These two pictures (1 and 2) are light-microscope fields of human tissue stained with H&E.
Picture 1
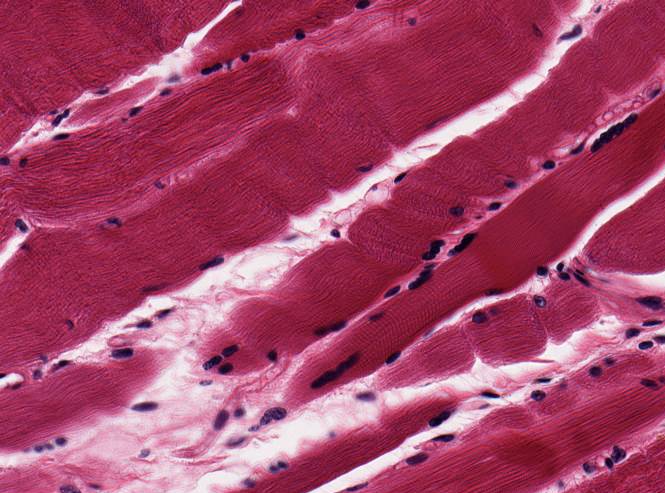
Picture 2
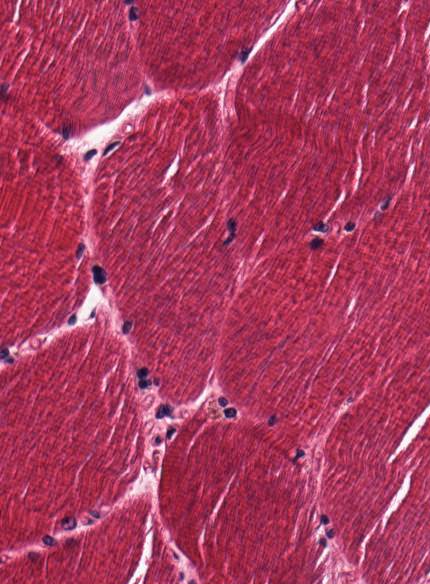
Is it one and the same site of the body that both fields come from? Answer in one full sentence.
Yes, they come from the same site of the body: both come from skeletal muscle.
